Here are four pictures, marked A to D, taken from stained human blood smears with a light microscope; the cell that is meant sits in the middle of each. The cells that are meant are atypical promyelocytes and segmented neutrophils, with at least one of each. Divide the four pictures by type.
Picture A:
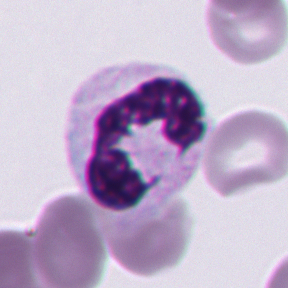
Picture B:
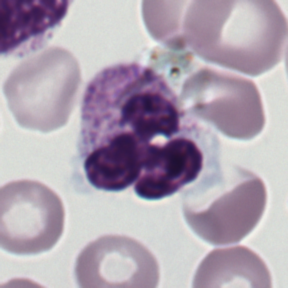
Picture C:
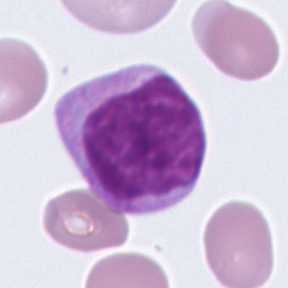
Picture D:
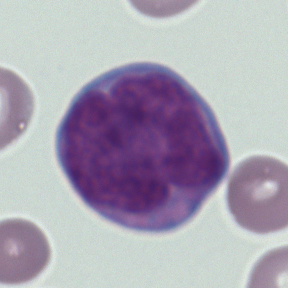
A: segmented neutrophil
B: segmented neutrophil
C: atypical promyelocyte
D: atypical promyelocyte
